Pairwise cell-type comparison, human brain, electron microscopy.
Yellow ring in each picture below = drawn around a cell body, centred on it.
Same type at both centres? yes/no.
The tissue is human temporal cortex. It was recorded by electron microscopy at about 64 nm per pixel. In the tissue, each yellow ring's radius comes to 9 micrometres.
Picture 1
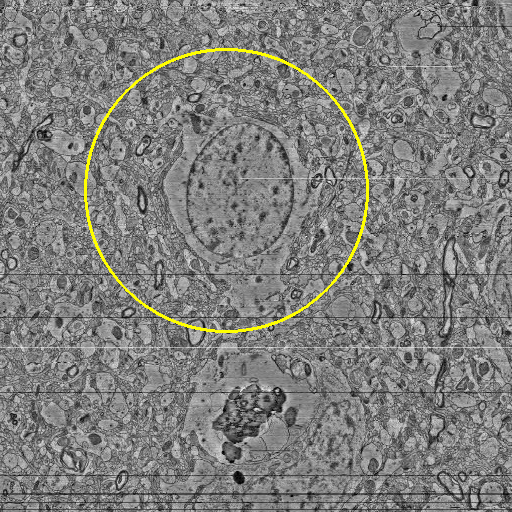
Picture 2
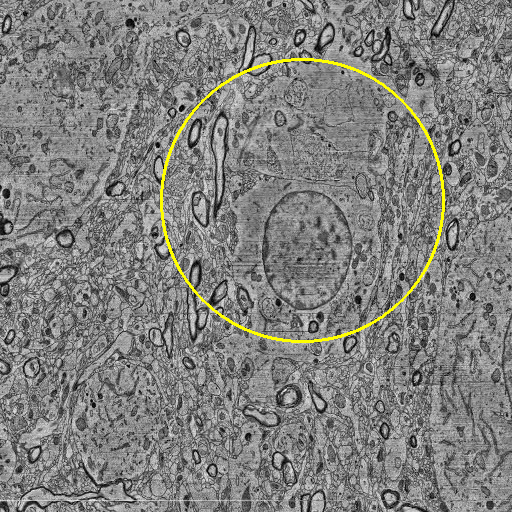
yes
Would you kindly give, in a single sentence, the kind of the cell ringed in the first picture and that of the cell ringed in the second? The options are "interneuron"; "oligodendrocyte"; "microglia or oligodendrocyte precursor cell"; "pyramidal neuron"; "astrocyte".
Both rings mark an astrocyte, one in each picture.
